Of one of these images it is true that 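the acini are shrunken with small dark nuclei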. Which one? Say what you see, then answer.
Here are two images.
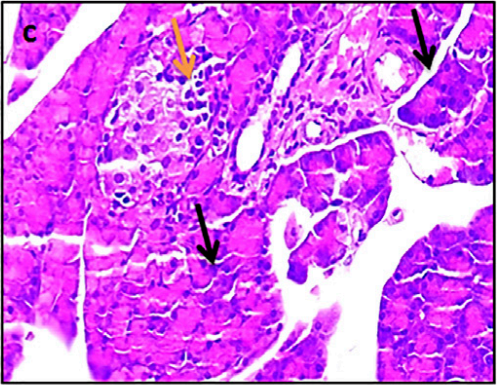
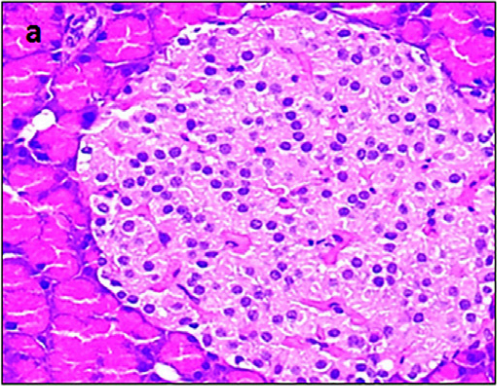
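Second image: acini are closely packed around a large pale islet with no wide gaps. So: the first image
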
